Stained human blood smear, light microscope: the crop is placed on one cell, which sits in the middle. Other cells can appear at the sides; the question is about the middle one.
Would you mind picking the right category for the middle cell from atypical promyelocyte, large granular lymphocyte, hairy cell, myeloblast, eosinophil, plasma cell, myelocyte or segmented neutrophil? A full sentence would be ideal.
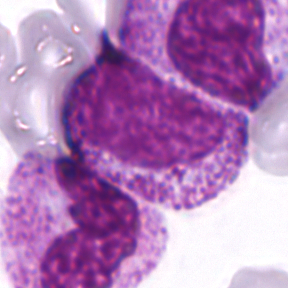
The cell of interest, in the center, is a myelocyte.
